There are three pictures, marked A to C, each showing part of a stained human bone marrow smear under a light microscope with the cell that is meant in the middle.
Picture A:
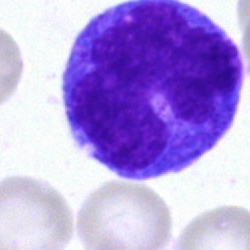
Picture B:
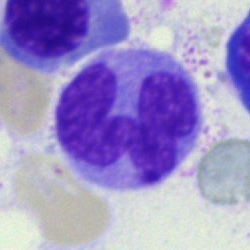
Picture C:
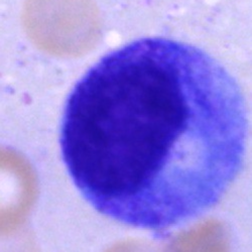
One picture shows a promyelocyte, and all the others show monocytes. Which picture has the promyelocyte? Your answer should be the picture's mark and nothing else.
C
